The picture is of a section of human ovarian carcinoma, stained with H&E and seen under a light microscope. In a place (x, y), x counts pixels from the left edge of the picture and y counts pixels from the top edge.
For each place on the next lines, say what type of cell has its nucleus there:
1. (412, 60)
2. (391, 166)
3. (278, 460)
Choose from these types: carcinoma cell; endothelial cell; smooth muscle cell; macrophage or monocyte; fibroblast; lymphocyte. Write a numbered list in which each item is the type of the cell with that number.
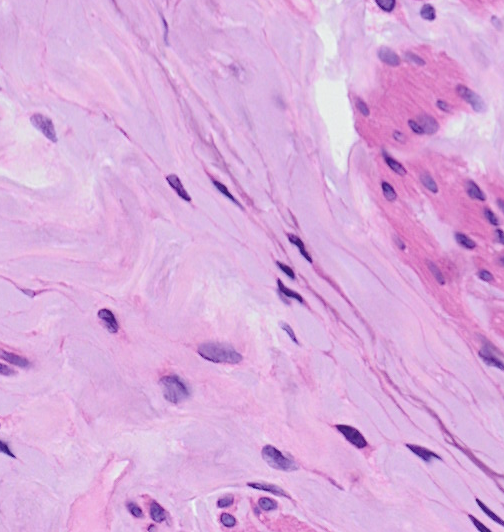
1. smooth muscle cell
2. smooth muscle cell
3. fibroblast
